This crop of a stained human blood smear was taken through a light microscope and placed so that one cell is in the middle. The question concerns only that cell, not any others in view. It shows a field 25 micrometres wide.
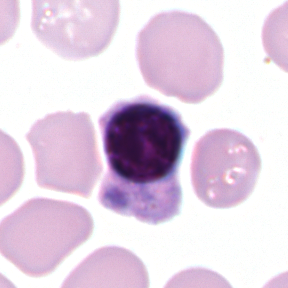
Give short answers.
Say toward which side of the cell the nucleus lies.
top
